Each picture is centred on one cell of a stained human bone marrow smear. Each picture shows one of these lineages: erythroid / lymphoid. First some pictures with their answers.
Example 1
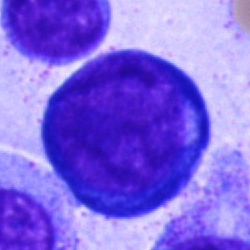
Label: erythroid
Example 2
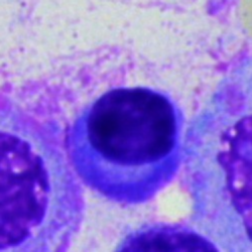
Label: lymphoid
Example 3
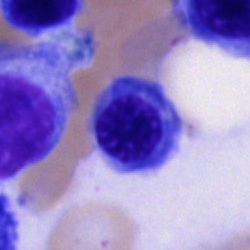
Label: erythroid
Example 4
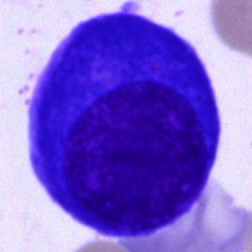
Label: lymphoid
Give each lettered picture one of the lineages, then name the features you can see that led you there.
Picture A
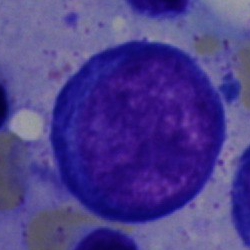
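Label: erythroid. The chromatin is fine and evenly spread rather than clumped.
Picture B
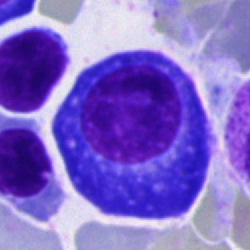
Label: lymphoid. The cytoplasm is abundant and occupies more of the cell than the nucleus does.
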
